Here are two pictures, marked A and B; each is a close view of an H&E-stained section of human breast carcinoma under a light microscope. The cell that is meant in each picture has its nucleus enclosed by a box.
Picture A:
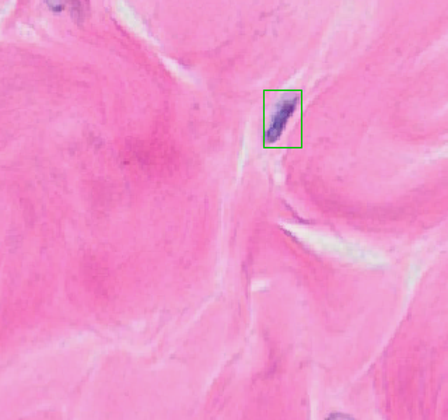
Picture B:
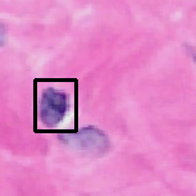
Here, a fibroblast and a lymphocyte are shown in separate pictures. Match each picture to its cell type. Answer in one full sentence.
Picture A is of a fibroblast, and picture B is of a lymphocyte.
